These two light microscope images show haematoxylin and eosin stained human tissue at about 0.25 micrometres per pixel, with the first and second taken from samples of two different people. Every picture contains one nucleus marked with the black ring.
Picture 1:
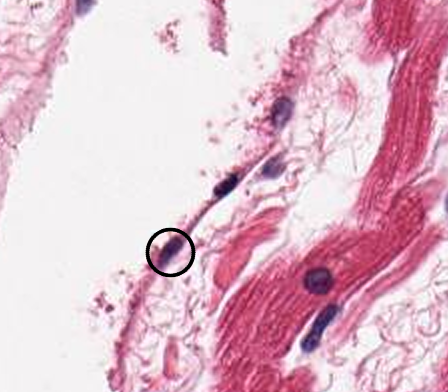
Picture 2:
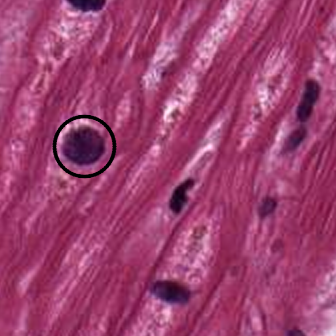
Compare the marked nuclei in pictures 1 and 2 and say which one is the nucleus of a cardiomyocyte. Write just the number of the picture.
2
